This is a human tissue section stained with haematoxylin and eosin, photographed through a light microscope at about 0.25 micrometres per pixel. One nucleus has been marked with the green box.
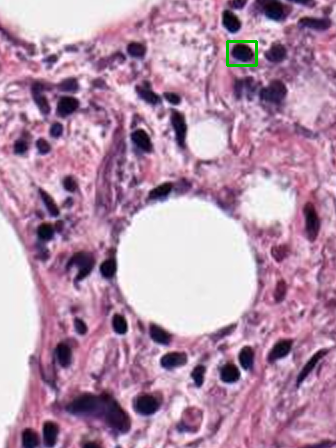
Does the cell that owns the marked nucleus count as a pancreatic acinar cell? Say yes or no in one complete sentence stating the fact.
No, it is a supporting cell whose nucleus is marked, not a pancreatic acinar cell.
